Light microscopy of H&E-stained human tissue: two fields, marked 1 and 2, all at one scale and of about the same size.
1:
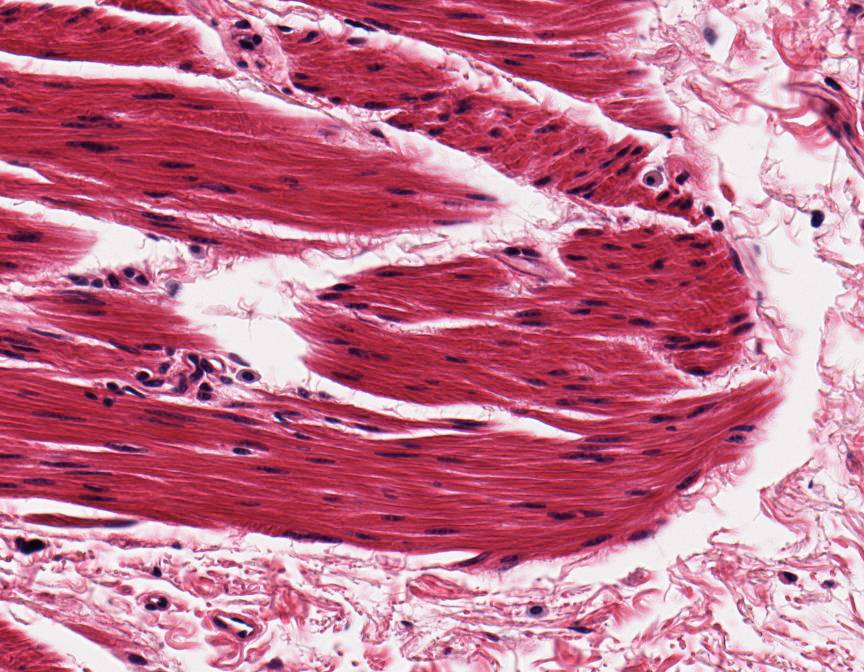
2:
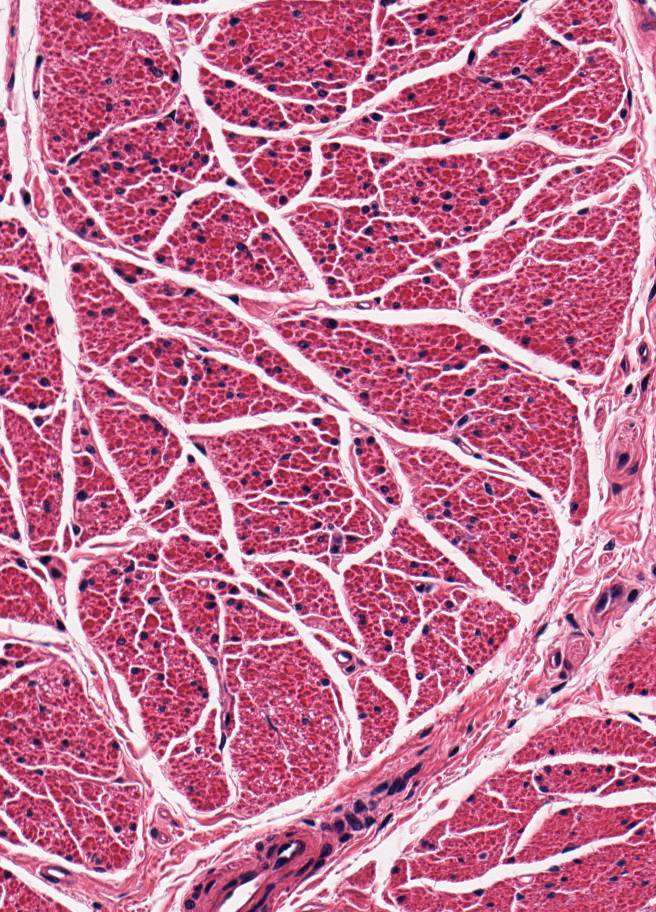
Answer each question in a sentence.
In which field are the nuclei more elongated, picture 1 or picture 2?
The nuclei are more elongated in picture 1.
